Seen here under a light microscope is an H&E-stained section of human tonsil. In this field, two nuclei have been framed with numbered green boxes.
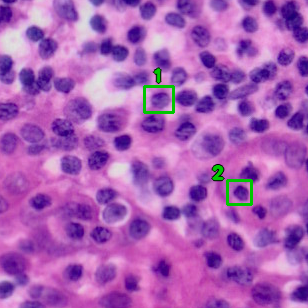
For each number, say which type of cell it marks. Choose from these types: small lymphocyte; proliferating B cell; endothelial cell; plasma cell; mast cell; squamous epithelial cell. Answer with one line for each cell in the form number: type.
1: plasma cell
2: endothelial cell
